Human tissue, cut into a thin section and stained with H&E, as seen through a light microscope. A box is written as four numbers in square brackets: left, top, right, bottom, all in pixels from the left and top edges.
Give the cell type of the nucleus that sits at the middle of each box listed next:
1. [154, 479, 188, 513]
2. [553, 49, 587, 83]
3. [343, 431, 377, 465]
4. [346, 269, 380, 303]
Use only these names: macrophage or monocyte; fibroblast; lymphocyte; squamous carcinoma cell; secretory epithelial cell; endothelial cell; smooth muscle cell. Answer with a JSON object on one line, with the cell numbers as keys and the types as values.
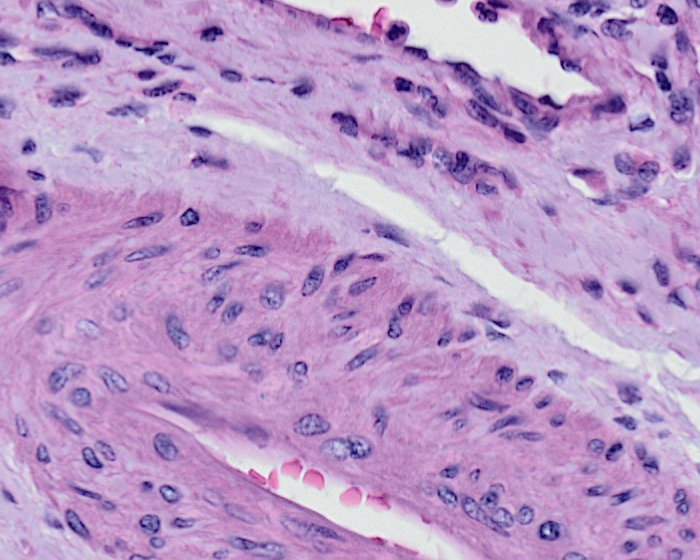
{"1": "smooth muscle cell", "2": "endothelial cell", "3": "smooth muscle cell", "4": "smooth muscle cell"}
